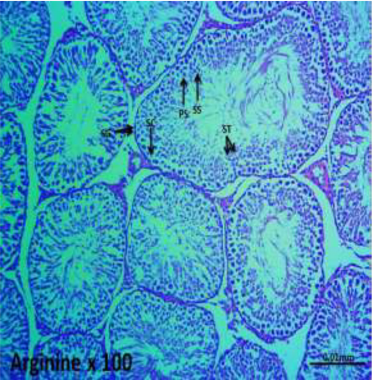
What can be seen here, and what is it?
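Testicular tubules cut across are packed closely together, each with a broad epithelium of spermatogenic cells whose purple nuclei form layered rows from the outer border inward. Narrow pinkish interstitial tissue lies between the tubules.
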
